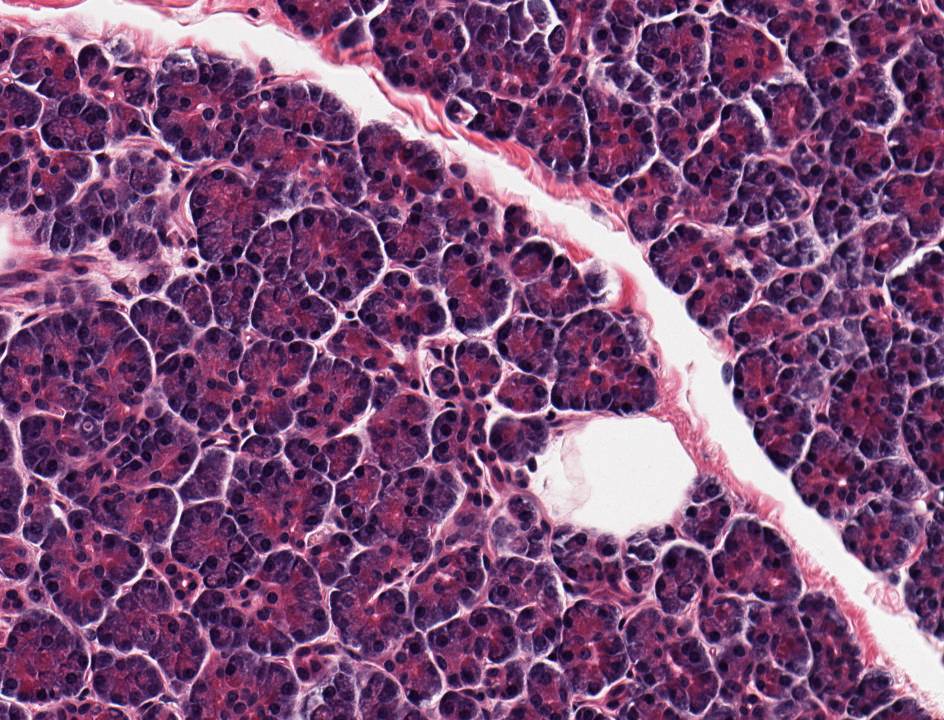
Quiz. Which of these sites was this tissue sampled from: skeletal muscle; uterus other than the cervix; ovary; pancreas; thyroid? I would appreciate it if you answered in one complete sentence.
The sample of tissue came from the pancreas.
